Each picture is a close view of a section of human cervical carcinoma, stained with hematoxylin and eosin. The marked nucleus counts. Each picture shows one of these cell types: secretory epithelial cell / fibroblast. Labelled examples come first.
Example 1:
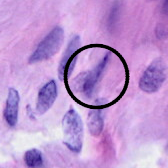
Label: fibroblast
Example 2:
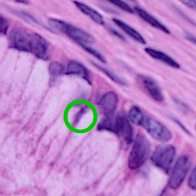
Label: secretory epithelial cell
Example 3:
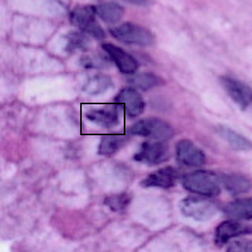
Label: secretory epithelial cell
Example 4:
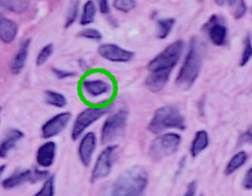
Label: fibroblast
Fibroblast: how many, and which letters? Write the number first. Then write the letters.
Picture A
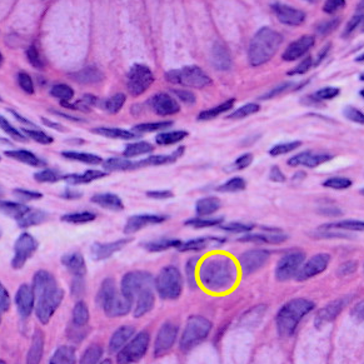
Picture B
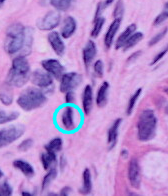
1: B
